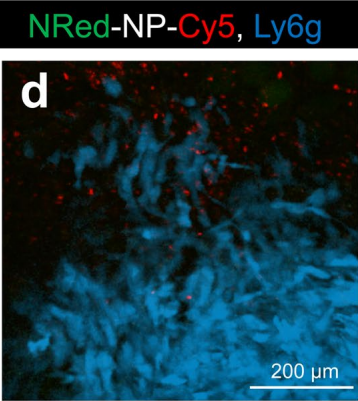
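The cells are elongated and spindle-shaped, lying in wavy, loosely parallel streams that become denser toward the bottom of the field. Toward the top the mass thins into scattered single elongated cells. Many small red dots are scattered over the upper part of the field around and between these peripheral cells.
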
